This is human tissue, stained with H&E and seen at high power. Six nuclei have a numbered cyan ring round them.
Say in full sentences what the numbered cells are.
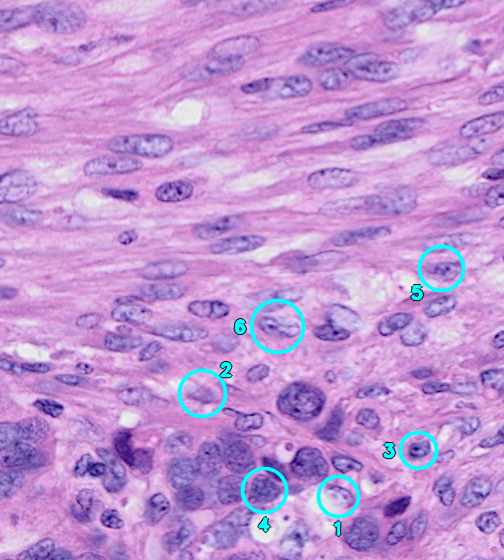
Cells 1, 2, 5 and 6 are fibroblasts. Cell 3 is a lymphocyte. Cell 4 is a carcinoma cell.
